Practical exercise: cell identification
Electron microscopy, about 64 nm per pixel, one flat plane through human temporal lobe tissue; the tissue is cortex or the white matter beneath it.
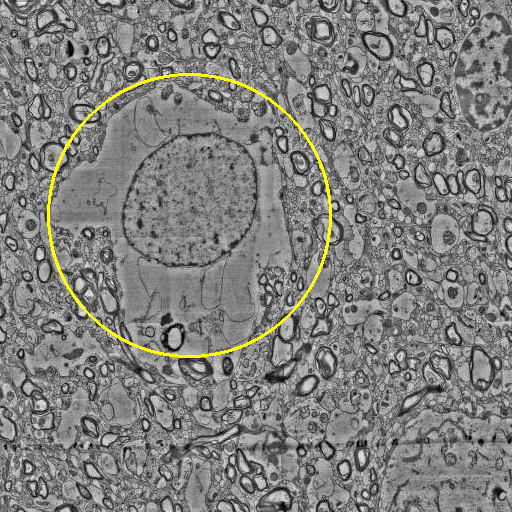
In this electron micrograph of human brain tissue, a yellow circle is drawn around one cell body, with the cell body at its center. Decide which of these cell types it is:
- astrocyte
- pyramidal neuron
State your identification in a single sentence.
The ringed cell is an astrocyte.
